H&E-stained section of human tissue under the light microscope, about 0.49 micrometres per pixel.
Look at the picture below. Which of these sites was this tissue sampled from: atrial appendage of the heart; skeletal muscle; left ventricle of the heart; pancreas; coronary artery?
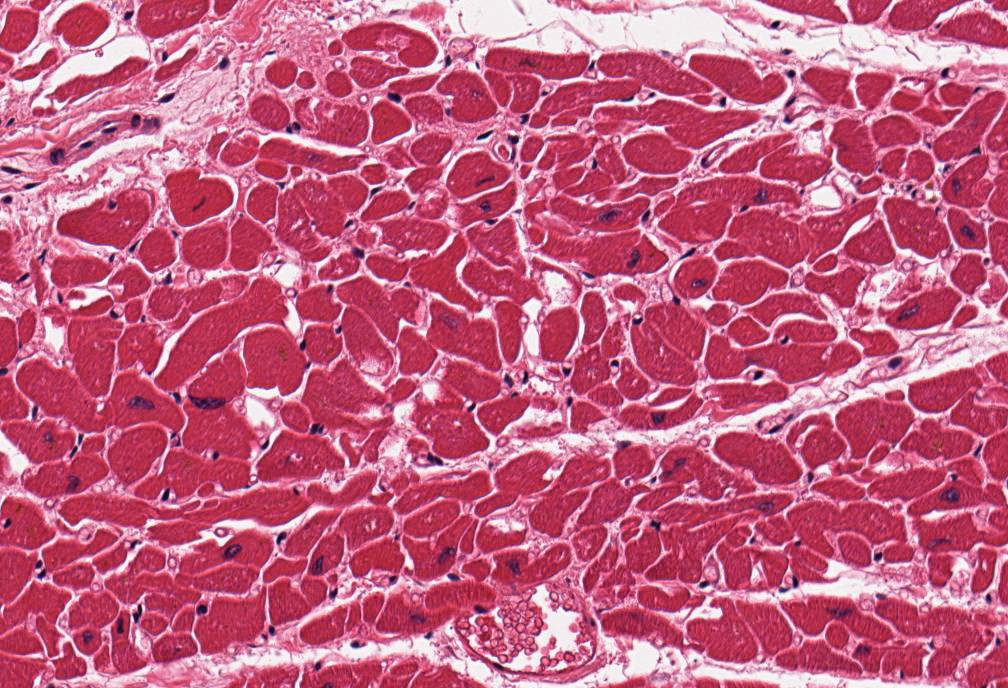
left ventricle of the heart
